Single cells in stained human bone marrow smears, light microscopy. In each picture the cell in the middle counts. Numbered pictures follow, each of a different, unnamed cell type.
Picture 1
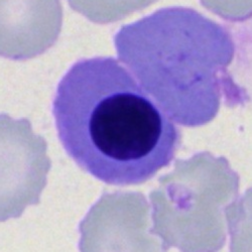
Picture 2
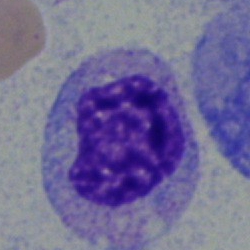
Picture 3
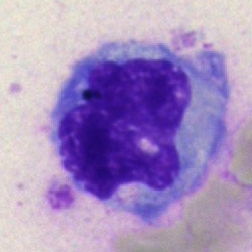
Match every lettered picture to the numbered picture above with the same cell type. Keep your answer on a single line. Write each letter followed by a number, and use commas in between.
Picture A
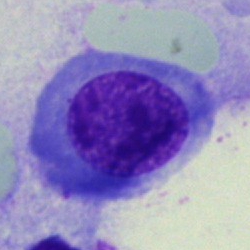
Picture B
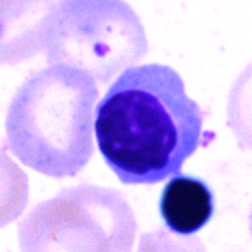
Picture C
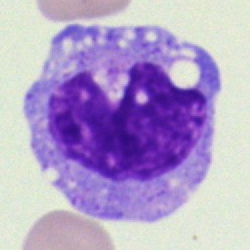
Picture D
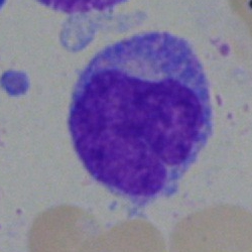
A 1, B 1, C 3, D 3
